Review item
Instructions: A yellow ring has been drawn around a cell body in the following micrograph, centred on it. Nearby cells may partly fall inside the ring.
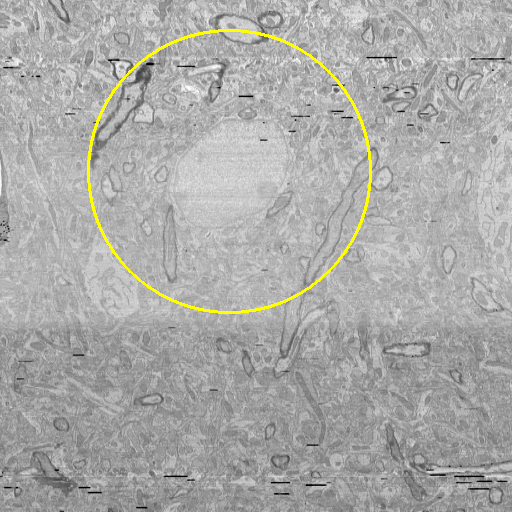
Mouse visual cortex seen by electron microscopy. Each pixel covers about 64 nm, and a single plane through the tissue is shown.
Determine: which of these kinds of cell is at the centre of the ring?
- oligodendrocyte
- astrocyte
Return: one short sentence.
The cell body in the middle of the ring is that of an astrocyte.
